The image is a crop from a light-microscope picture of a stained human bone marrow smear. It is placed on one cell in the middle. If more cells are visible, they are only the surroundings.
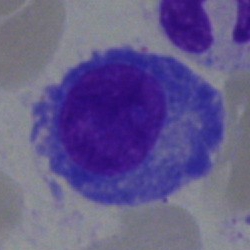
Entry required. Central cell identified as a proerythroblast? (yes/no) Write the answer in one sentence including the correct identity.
No, at the centre of this crop is found a plasma cell instead of a proerythroblast.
